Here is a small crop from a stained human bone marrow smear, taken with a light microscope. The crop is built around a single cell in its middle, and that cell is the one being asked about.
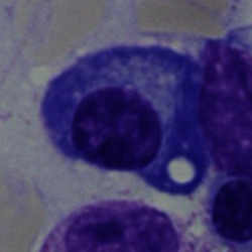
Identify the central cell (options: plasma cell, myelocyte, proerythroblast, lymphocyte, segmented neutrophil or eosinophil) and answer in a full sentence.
The crop's centre is taken up by a plasma cell.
